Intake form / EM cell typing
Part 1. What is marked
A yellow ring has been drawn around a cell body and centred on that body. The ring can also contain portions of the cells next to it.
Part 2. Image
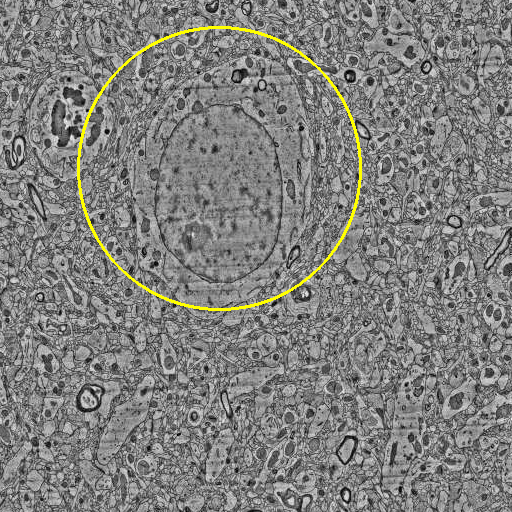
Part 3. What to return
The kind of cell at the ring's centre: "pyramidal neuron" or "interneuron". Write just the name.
pyramidal neuron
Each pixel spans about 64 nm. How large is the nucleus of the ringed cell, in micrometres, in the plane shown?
About 11 by 8 micrometers for the nucleus, in this plane.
